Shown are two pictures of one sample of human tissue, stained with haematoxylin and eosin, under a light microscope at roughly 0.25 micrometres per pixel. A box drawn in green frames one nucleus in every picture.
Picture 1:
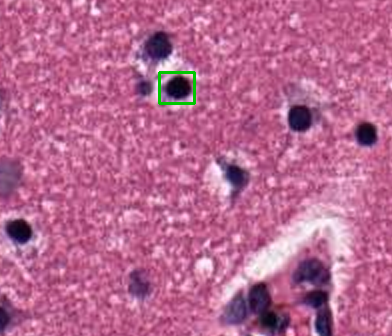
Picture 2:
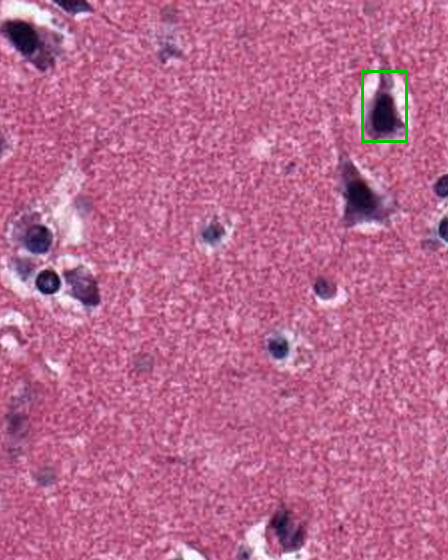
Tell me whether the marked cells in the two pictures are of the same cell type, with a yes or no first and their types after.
No, the first is an oligodendrocyte and the second a neuron.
